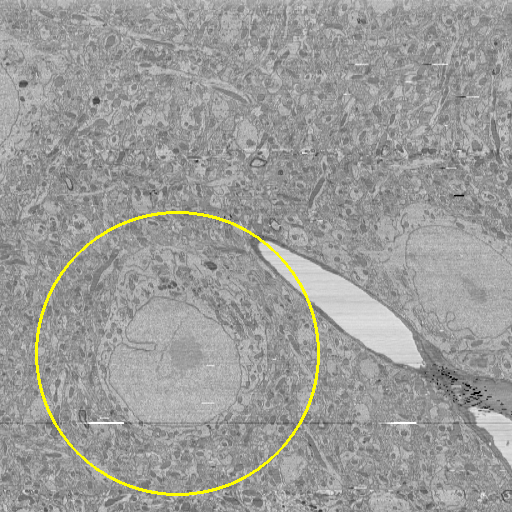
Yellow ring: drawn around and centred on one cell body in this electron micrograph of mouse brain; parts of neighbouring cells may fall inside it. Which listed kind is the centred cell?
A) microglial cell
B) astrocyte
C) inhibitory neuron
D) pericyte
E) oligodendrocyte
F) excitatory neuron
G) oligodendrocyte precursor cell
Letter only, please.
C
